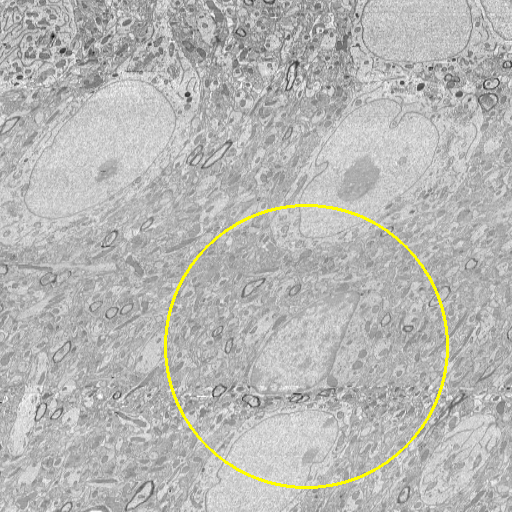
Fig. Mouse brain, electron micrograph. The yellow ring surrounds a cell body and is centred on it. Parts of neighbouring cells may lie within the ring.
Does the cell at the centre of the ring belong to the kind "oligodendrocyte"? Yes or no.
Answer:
yes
